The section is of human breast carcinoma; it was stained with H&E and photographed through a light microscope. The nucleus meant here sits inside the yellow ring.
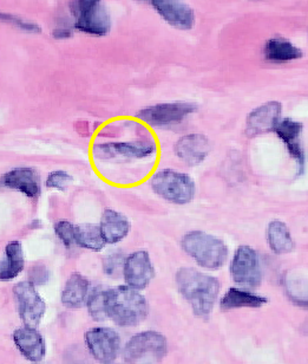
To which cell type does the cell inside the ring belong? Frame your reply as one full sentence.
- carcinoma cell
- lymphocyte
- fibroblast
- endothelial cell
Cell type answer for this item: the cell inside the ring is an endothelial cell.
